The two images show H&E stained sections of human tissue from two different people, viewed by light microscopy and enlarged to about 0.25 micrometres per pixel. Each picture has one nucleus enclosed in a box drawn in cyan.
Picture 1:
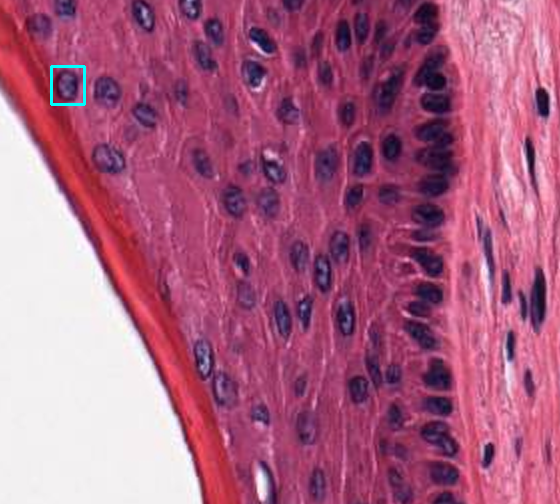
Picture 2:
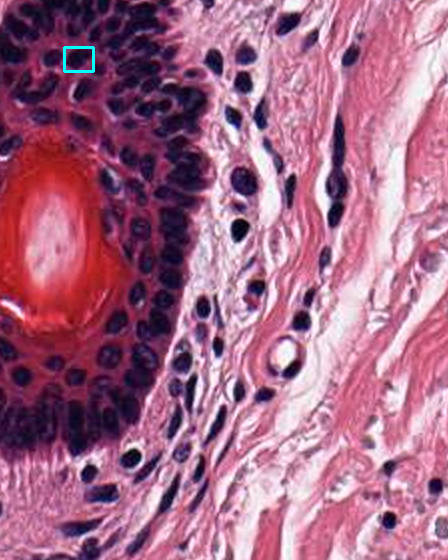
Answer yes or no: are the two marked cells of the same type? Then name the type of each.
Yes, both are keratinocytes.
